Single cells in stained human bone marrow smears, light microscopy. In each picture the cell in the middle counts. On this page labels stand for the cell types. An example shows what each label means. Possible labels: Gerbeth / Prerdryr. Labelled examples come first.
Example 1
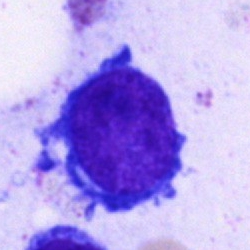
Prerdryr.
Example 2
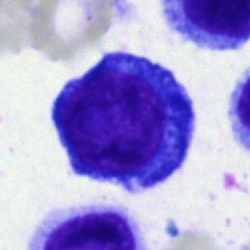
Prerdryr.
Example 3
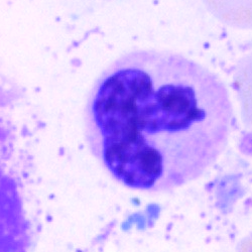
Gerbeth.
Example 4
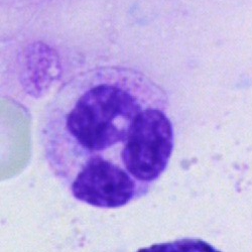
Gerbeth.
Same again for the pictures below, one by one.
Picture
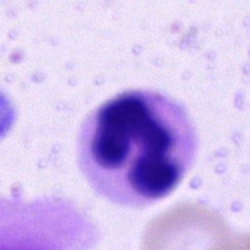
Gerbeth.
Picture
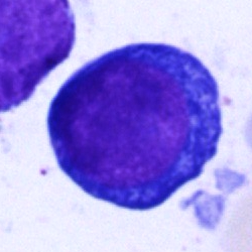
Prerdryr.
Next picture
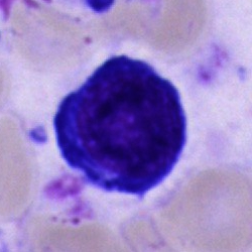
Prerdryr.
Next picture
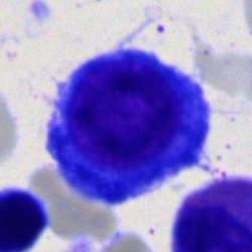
Prerdryr.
